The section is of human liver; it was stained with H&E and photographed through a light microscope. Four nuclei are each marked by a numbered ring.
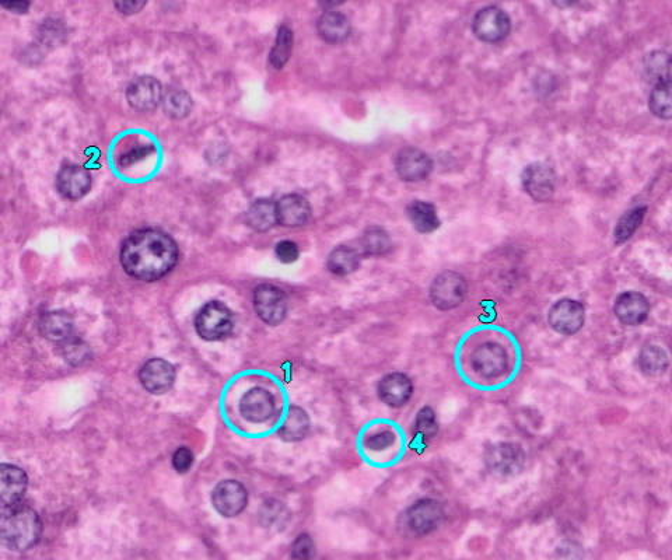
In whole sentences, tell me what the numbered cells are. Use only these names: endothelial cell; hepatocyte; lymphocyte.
Cell 1 is a hepatocyte, cell 2 is an endothelial cell, cell 3 is a hepatocyte and cell 4 is a lymphocyte.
